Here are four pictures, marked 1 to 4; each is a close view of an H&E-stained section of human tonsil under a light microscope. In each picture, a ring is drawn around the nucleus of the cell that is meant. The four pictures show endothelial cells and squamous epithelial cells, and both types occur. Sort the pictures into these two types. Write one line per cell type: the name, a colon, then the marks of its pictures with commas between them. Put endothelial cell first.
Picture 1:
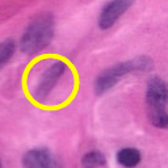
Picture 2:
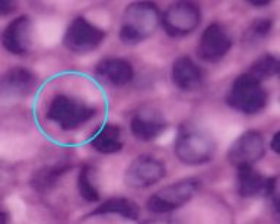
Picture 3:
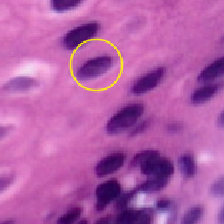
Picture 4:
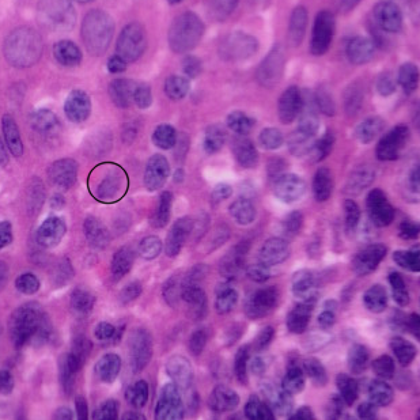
endothelial cell: 1
squamous epithelial cell: 2, 3, 4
